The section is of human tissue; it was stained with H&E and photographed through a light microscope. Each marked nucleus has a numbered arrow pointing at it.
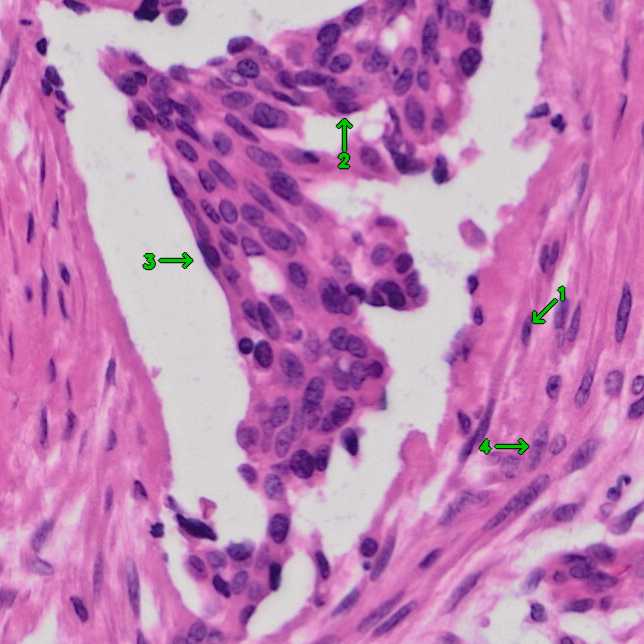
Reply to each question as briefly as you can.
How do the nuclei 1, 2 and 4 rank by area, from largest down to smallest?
4, 2, 1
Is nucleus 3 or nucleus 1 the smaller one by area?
1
